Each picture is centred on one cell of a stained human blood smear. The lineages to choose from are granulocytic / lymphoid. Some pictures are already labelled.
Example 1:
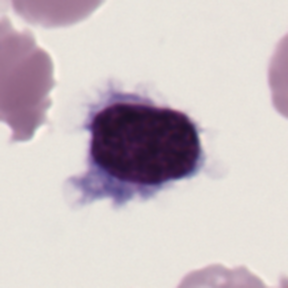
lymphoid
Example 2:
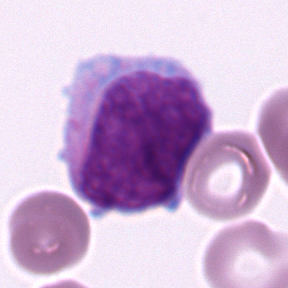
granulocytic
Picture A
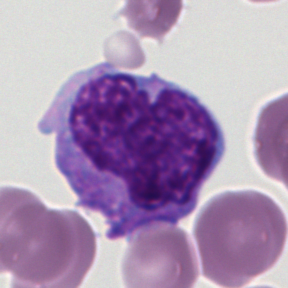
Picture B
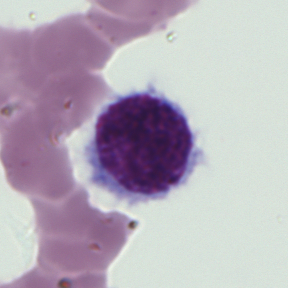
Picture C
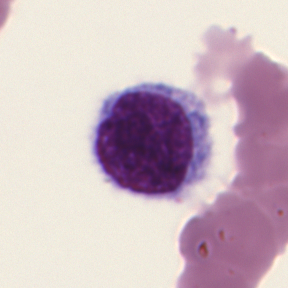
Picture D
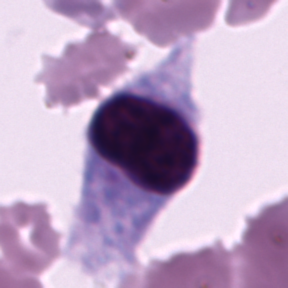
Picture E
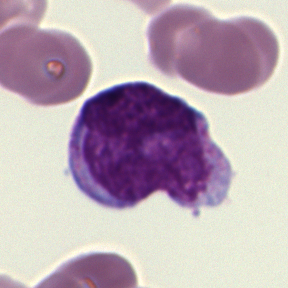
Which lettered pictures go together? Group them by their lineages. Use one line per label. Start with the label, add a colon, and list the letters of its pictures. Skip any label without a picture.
granulocytic: A, E
lymphoid: B, C, D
